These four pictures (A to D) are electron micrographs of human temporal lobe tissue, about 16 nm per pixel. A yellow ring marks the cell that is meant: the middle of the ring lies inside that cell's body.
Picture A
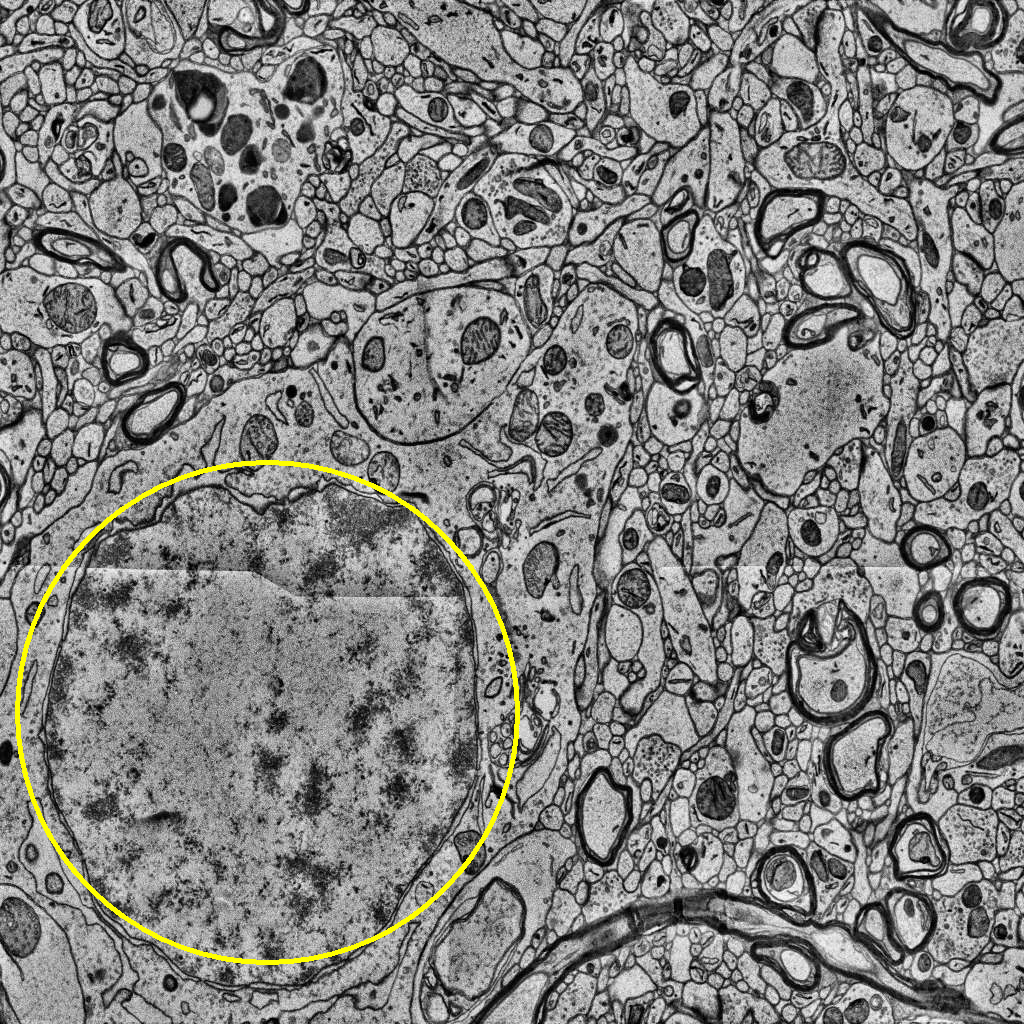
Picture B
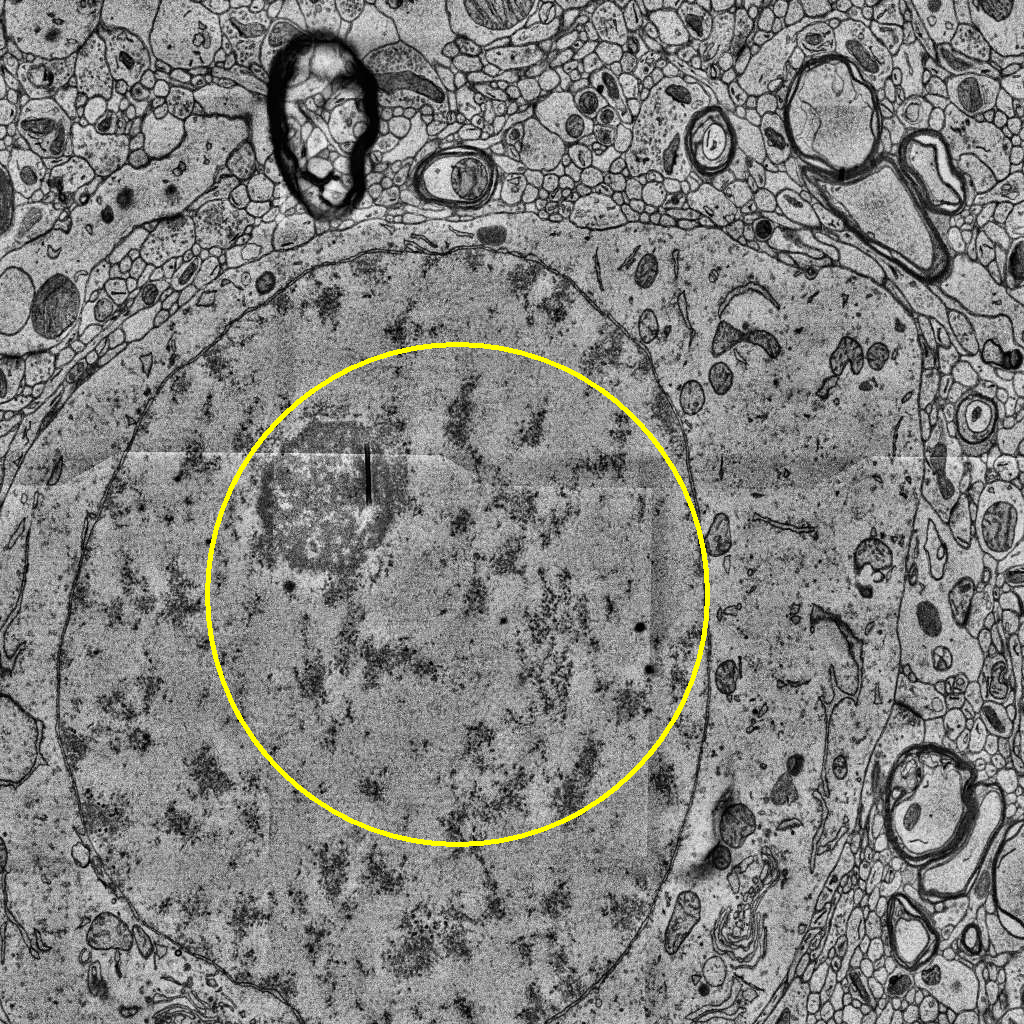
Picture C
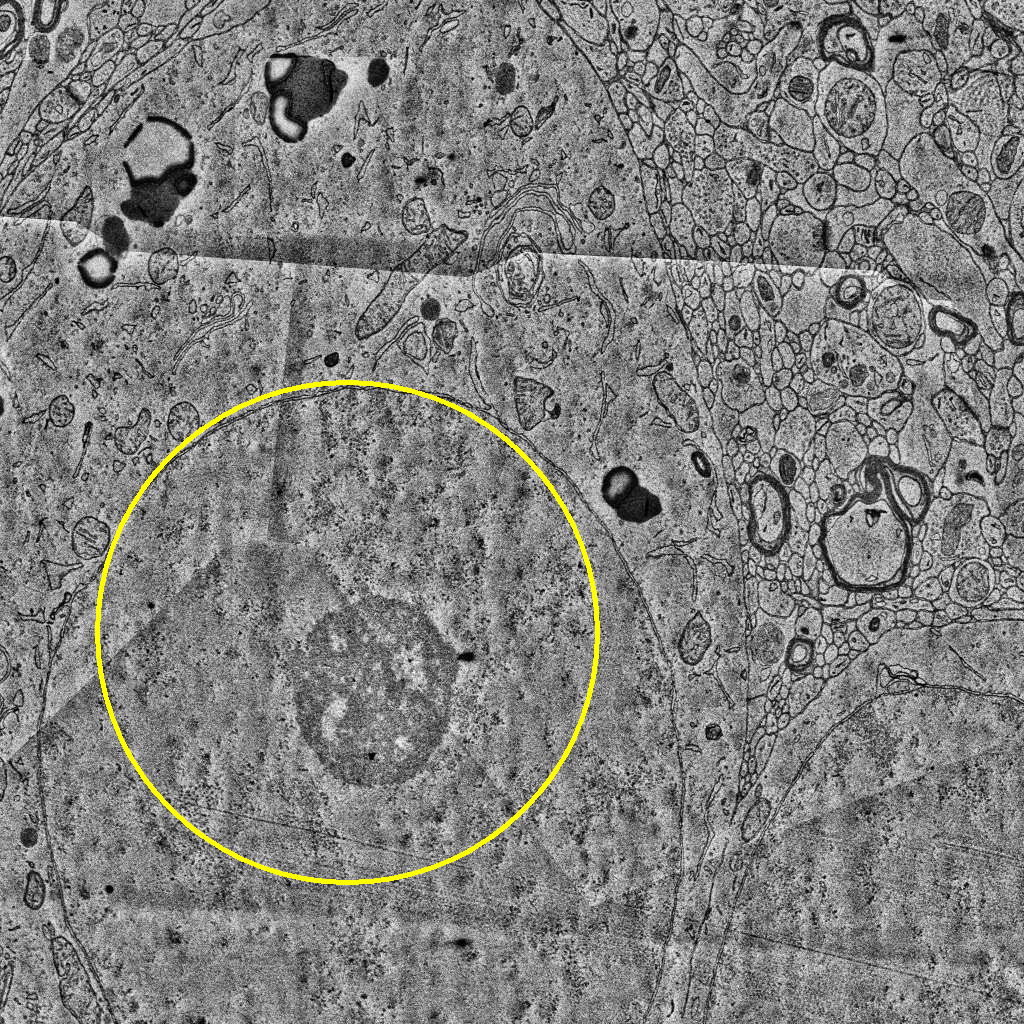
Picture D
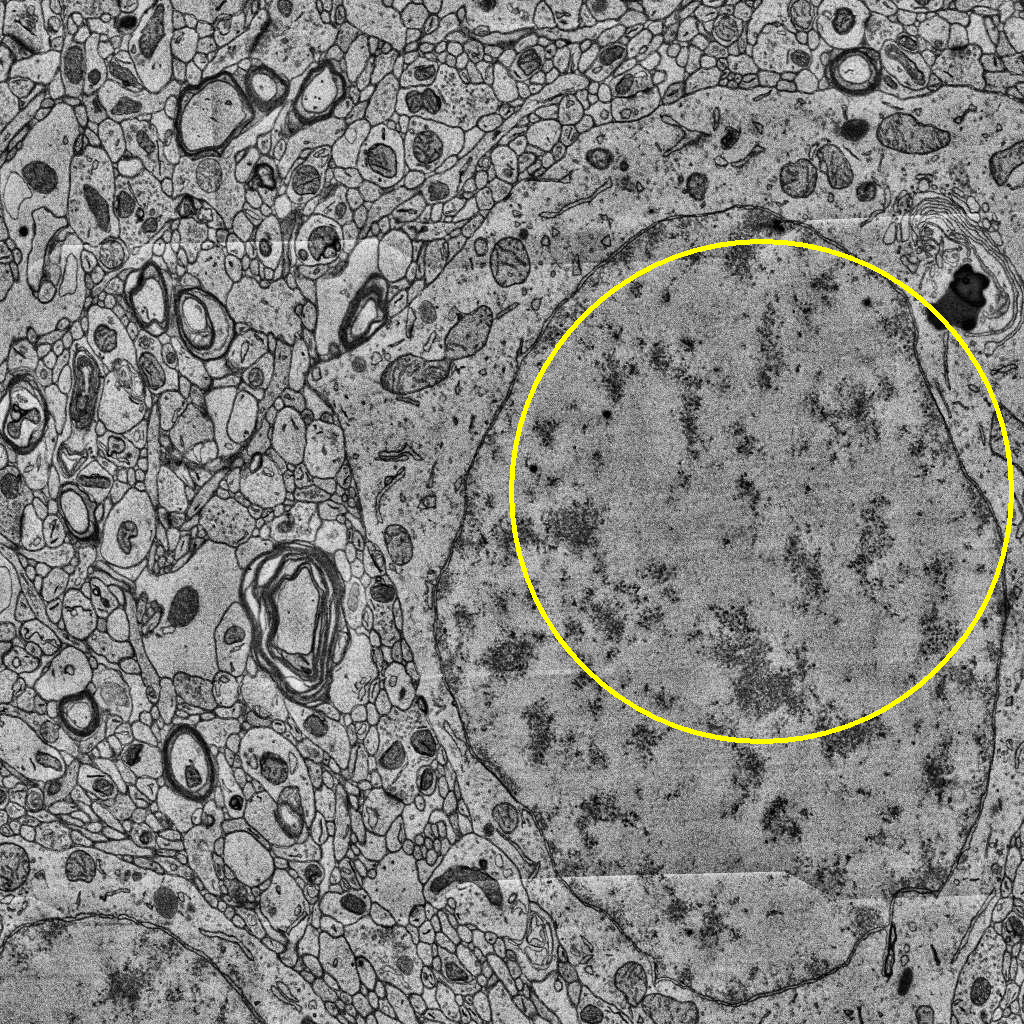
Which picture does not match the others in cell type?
The different one is picture A; it shows an interneuron, whereas all the others show pyramidal neurons.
